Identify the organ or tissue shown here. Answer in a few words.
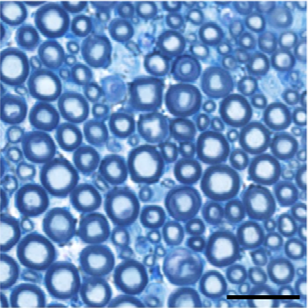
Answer: Nerve tissue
